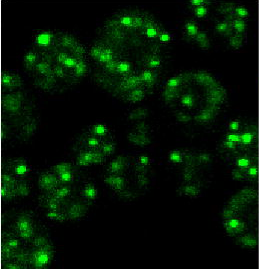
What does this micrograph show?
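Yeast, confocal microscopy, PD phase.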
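Small, closely packed yeast cells are seen in green fluorescence. The cytoplasm is faintly green, with dark rounded areas inside many cells. Nearly every cell holds one to several bright, round green foci, scattered through the cell and near its edge.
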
